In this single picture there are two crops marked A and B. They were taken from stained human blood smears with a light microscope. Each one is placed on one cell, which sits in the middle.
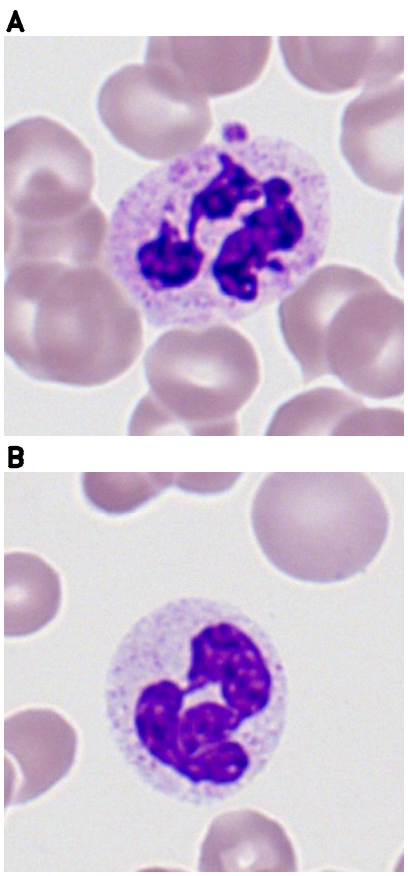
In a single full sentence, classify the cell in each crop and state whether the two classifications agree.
Yes, segmented neutrophils are the central cells in the two crops.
